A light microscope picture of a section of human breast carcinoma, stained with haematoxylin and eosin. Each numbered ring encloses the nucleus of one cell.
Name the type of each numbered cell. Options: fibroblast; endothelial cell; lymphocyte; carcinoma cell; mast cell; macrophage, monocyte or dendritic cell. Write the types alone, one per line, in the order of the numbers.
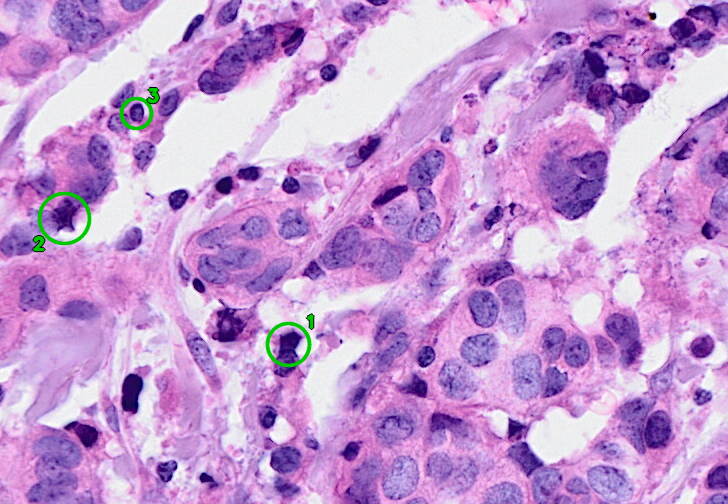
carcinoma cell
carcinoma cell
lymphocyte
